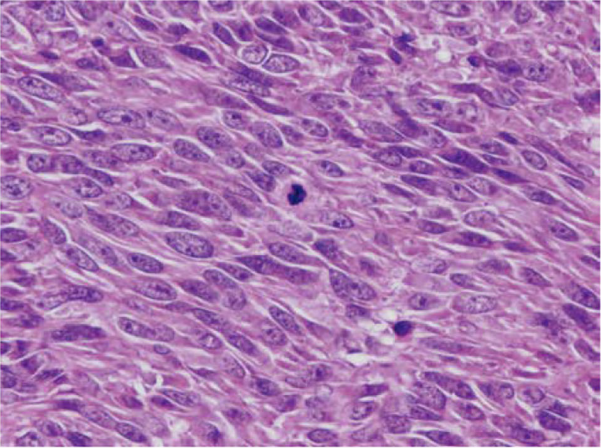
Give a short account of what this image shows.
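These are tumor cells of a spindle cell tumor seen at high magnification, with plump oval nuclei lying side by side in a common direction. The nuclei are large and pale purple, with finely dispersed chromatin and small nucleoli, and they fill much of each cell. The cytoplasm is pink and poorly delimited, so the cells merge into a streaming sheet. Scattered among them are a few small, intensely dark, clumped bodies of chromatin that stand out from the paler nuclei; these are mitotic figures. The crowding of plump nuclei and the presence of dividing cells point to an actively proliferating tumor.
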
